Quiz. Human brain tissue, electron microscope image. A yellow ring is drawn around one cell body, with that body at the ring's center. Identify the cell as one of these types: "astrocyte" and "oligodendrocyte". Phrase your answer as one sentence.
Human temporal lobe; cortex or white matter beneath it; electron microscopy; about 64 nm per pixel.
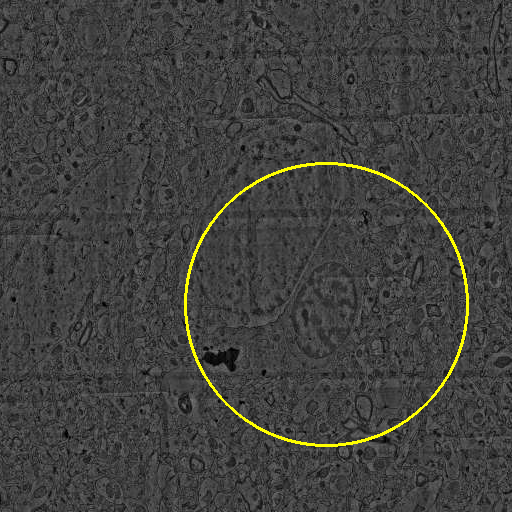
At the center of the ring sits an oligodendrocyte.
